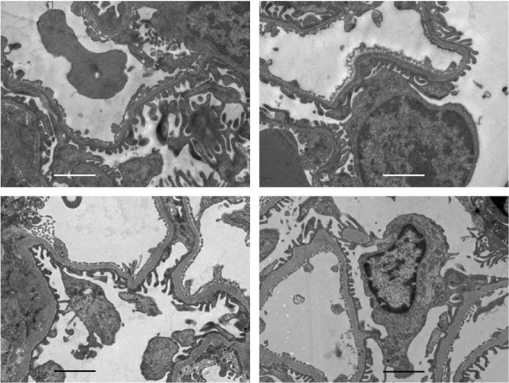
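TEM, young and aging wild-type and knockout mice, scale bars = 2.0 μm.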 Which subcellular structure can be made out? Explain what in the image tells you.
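Foot processes. Rows of small, regularly spaced dark projections line the outer side of thin curving membranes. The membranes border open, pale lumens.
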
